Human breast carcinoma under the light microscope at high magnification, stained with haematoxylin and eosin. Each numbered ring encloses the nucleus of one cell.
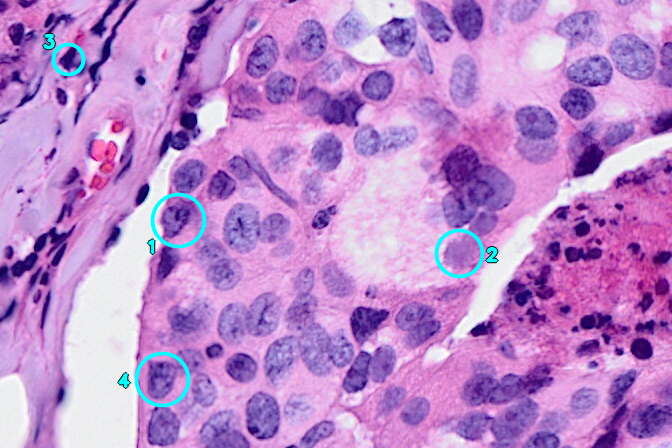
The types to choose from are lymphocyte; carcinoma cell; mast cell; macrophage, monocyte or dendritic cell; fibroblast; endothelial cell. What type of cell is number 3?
lymphocyte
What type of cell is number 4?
carcinoma cell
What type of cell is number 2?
carcinoma cell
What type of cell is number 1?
carcinoma cell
